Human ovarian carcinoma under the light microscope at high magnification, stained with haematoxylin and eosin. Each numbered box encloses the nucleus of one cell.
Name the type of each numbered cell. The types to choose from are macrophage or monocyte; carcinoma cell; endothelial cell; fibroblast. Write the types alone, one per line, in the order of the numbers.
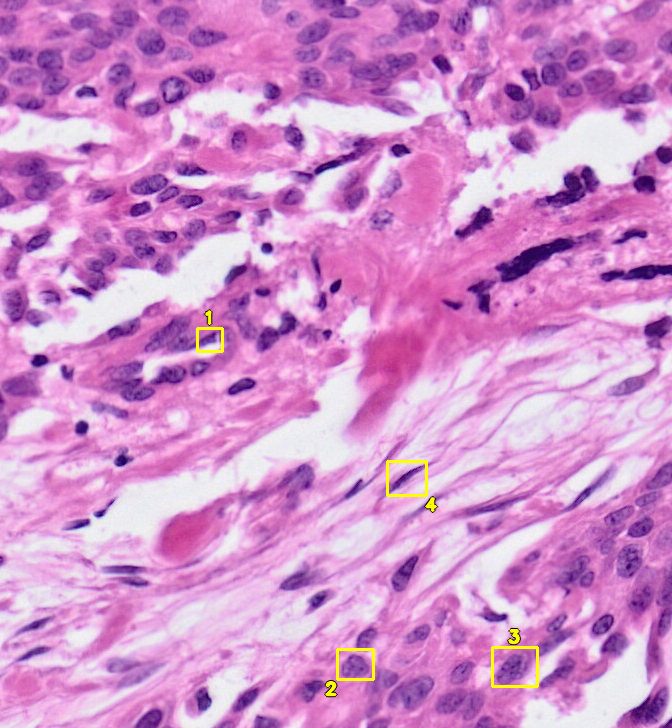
endothelial cell
macrophage or monocyte
carcinoma cell
fibroblast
